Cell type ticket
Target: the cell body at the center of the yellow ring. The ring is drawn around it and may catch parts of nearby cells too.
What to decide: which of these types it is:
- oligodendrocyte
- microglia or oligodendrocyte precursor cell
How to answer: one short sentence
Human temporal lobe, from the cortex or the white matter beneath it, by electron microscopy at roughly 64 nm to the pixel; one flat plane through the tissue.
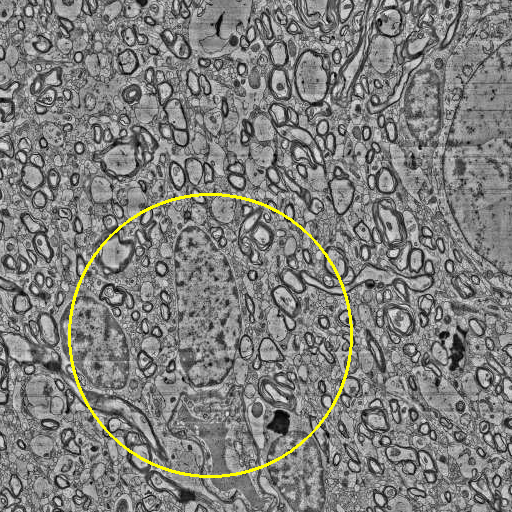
The cell at the center of the ring is a microglial cell or oligodendrocyte precursor cell.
